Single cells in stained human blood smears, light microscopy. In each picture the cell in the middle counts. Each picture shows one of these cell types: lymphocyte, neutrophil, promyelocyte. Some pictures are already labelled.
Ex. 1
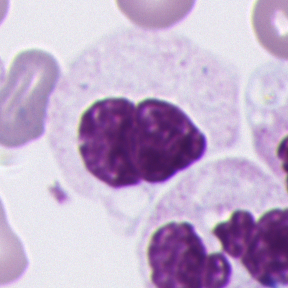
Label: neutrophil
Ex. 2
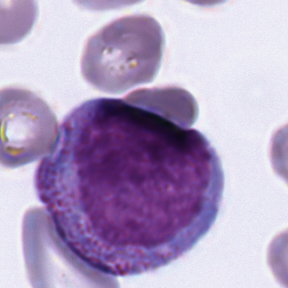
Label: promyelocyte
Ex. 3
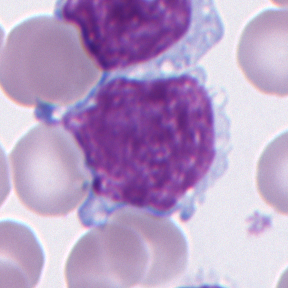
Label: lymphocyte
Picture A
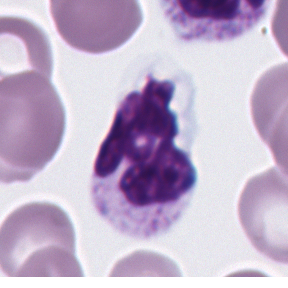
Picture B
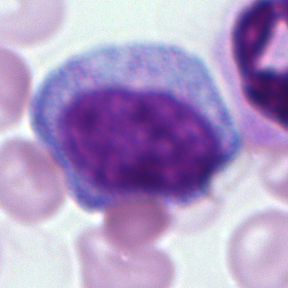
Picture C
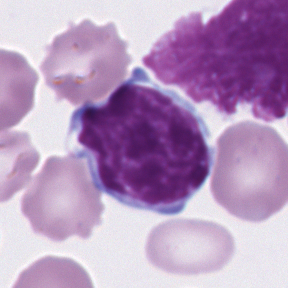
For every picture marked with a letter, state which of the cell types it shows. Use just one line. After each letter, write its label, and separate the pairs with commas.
A neutrophil, B promyelocyte, C lymphocyte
